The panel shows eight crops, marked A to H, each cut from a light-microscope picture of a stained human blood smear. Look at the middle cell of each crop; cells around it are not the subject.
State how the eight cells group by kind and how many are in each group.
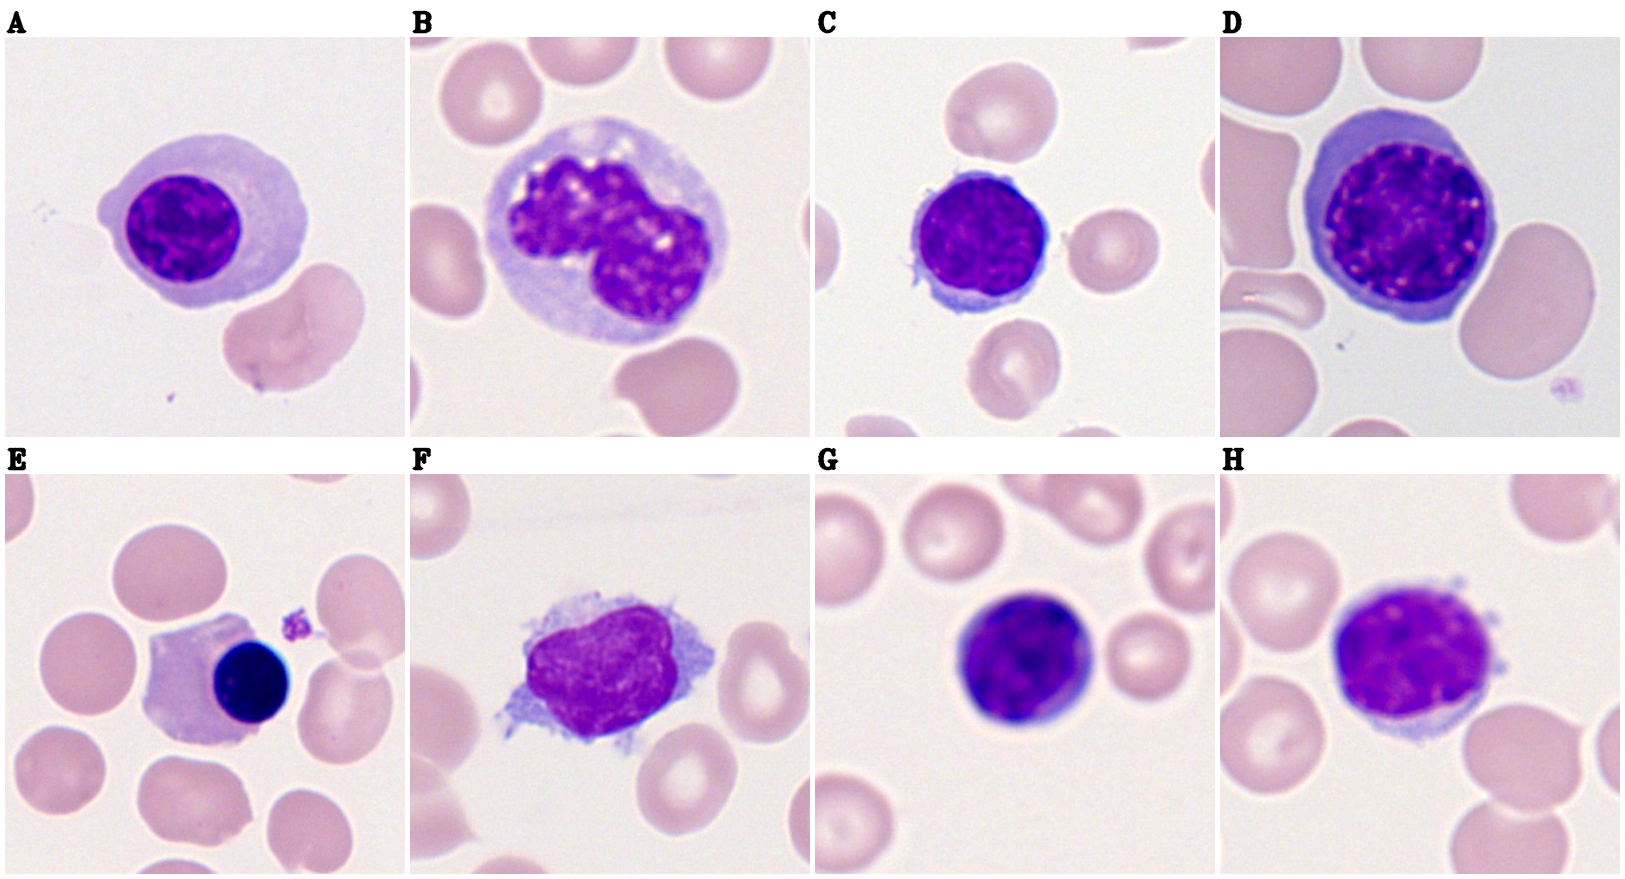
lymphocyte: 4
erythroblast: 3
monocyte: 1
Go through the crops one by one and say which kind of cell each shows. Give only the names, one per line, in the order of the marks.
erythroblast
monocyte
lymphocyte
erythroblast
erythroblast
lymphocyte
lymphocyte
lymphocyte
